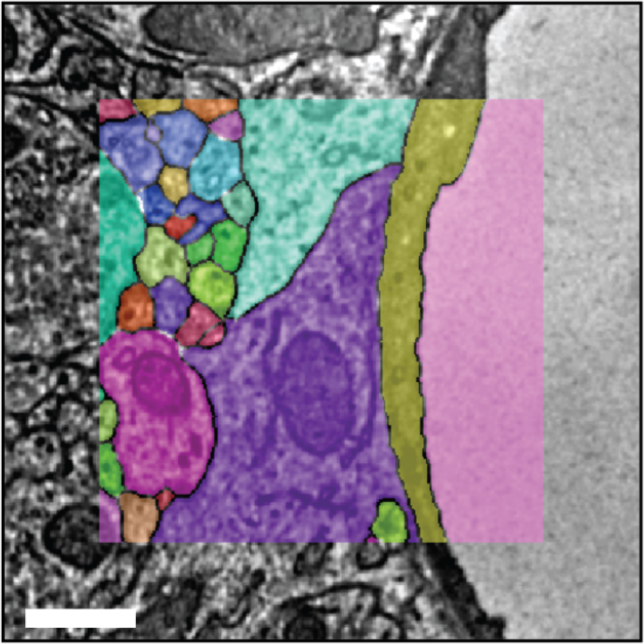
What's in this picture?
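Here the electron micrograph shows the wall of a blood vessel running vertically on the right side as a thin, continuous band of cytoplasm. To its right lies a broad, smooth, uniform area, the space within the vessel.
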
